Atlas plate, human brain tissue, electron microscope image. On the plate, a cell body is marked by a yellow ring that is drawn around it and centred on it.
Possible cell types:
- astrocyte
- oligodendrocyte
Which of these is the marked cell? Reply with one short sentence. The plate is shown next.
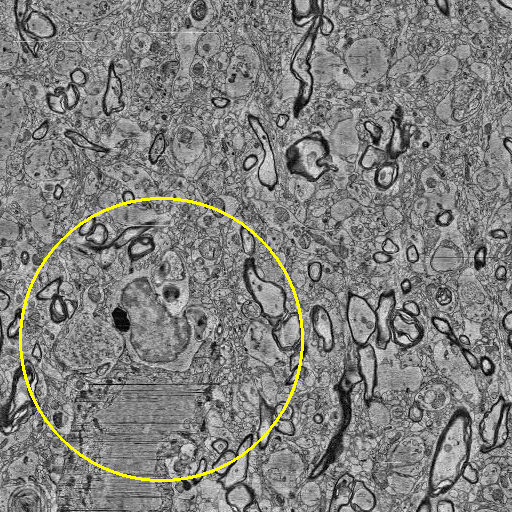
The marked cell is an oligodendrocyte.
